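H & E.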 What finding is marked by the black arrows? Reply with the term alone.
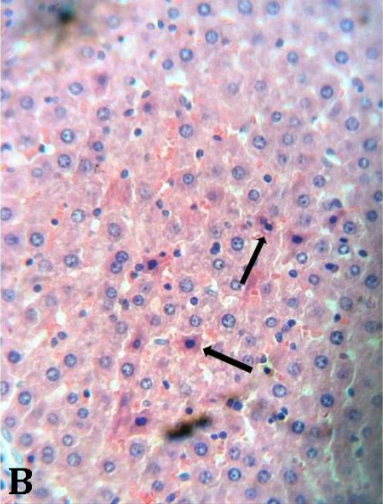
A: Degeneration and necrosis of hepatocytes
